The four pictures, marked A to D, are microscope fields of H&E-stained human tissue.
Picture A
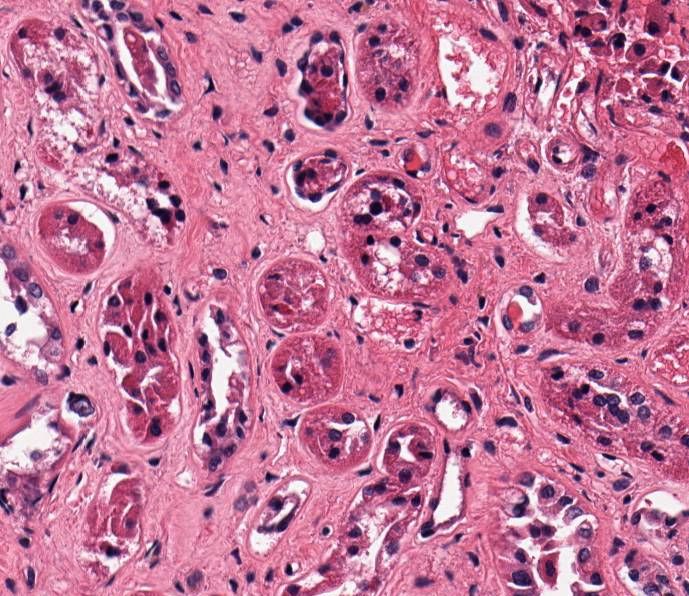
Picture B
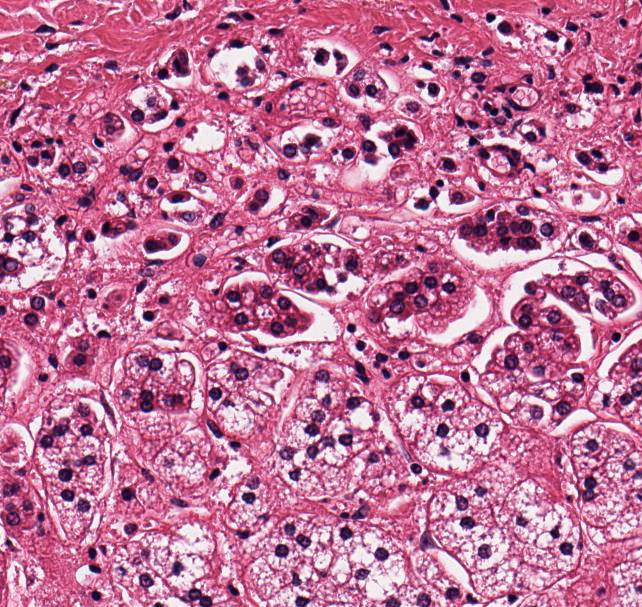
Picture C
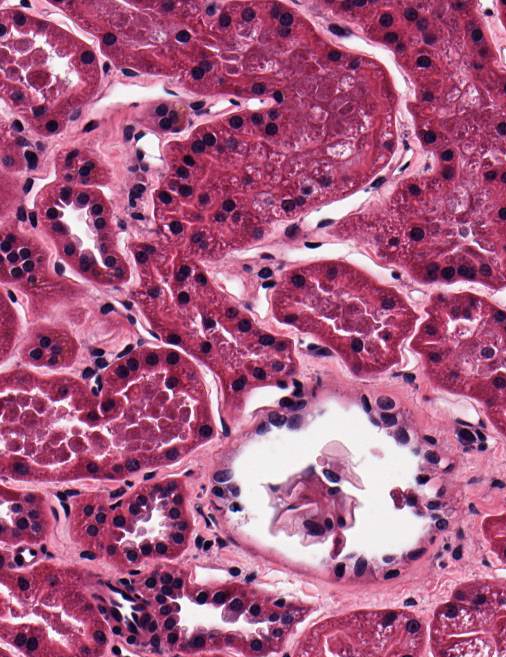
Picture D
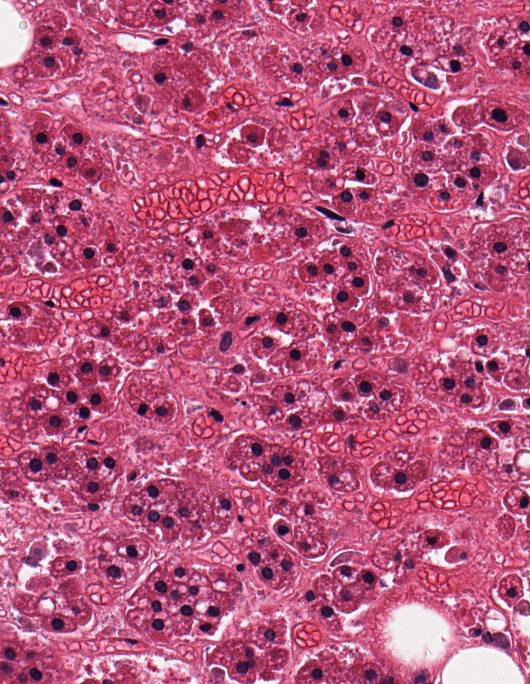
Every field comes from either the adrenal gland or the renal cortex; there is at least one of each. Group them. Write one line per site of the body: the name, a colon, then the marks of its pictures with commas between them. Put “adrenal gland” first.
adrenal gland: B, D
renal cortex: A, C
